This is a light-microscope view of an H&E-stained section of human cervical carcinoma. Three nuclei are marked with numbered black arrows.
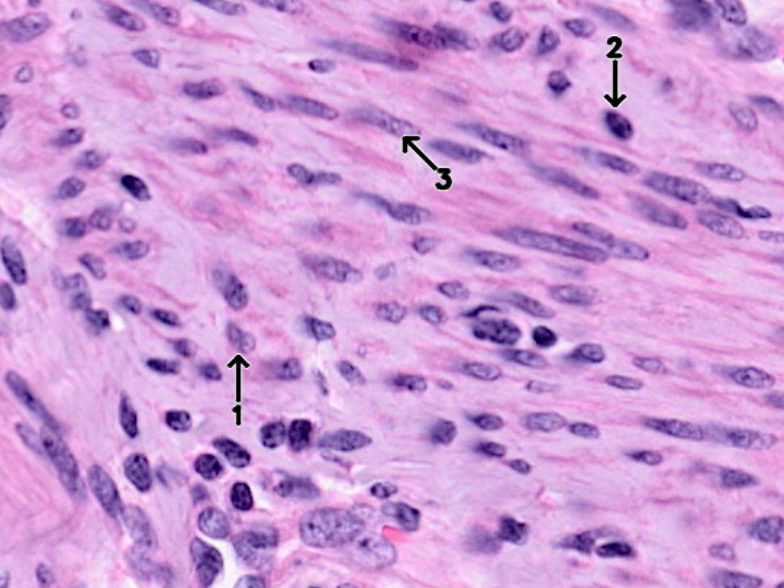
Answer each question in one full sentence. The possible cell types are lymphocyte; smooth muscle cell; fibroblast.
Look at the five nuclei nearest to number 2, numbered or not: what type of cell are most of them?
Smooth muscle cells make up most of the five nuclei closest to number 2.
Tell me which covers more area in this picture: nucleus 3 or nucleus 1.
At about 2 times the area of nucleus 1, nucleus 3 is the larger of the two.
